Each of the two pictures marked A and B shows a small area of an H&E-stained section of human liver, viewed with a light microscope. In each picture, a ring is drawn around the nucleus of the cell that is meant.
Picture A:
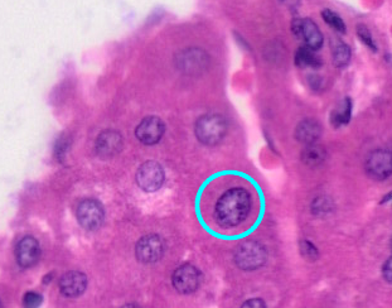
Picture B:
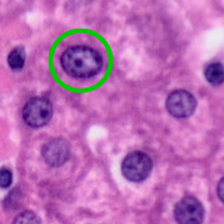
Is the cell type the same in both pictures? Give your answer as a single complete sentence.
Yes; the cells in both pictures are hepatocytes.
